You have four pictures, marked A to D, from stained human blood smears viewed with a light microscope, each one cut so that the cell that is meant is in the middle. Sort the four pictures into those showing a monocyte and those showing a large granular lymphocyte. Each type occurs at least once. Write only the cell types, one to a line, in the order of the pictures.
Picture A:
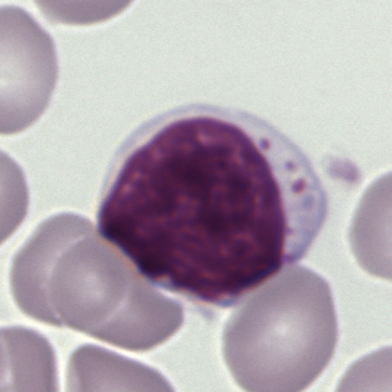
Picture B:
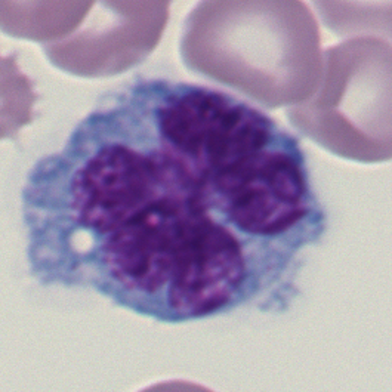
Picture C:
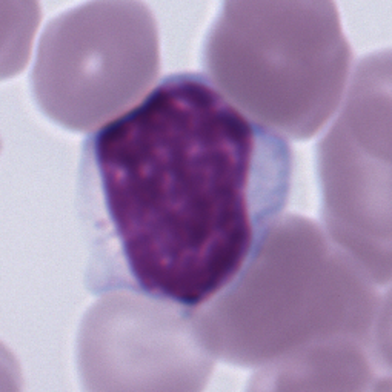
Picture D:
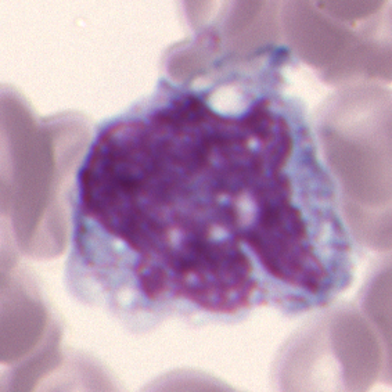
large granular lymphocyte
monocyte
large granular lymphocyte
monocyte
